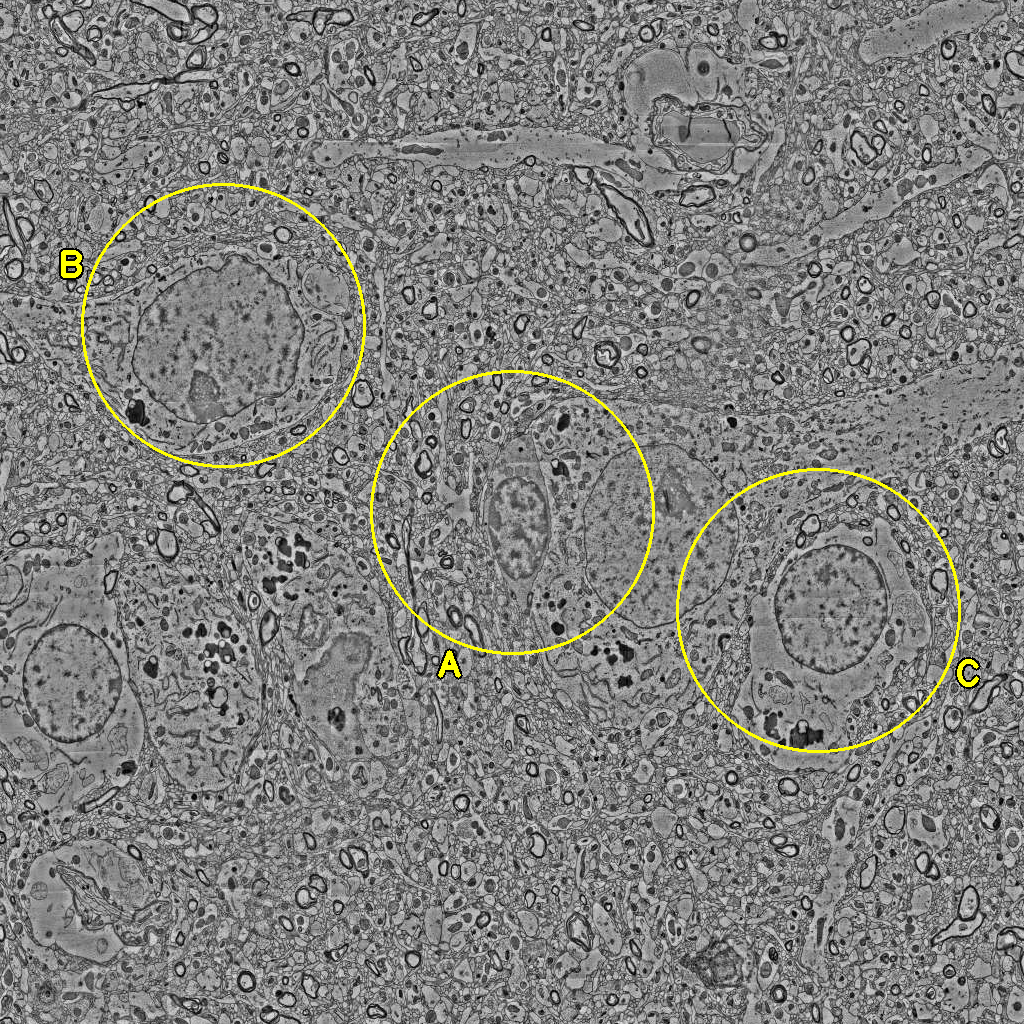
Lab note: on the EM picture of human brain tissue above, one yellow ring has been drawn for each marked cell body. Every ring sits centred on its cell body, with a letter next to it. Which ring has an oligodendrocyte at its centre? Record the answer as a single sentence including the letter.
Noted: the cell in question is at the centre of ring A.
